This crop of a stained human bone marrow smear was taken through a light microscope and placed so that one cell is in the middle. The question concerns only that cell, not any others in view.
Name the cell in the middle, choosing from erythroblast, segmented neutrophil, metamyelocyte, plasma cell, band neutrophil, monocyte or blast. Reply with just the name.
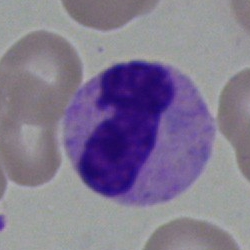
band neutrophil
